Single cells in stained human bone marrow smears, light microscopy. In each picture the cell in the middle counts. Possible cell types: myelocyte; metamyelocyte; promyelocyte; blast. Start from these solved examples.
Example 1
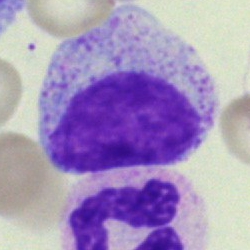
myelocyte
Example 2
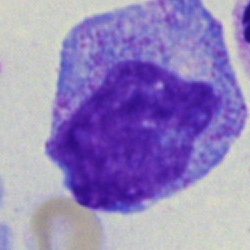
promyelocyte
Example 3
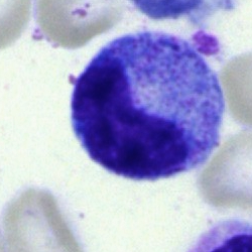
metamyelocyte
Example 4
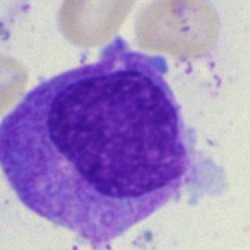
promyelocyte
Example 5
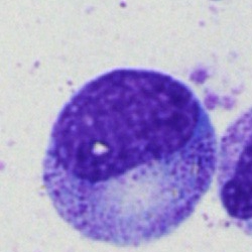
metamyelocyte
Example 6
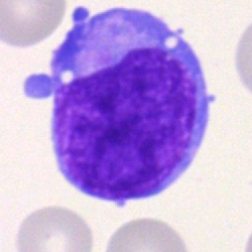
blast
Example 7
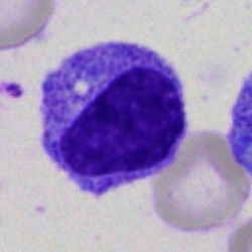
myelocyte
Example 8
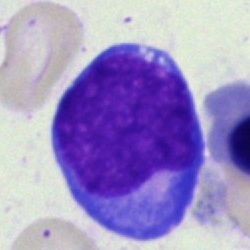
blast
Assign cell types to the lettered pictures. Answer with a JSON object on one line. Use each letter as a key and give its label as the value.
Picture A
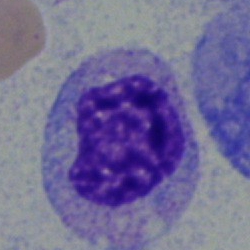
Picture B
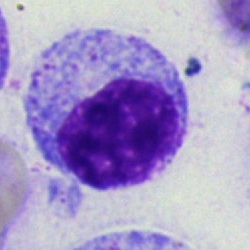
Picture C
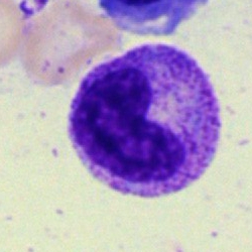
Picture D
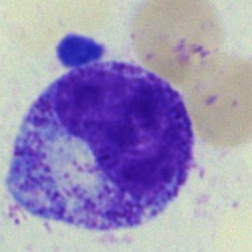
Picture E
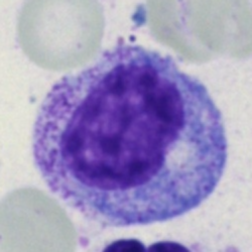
{"A": "myelocyte", "B": "myelocyte", "C": "metamyelocyte", "D": "metamyelocyte", "E": "promyelocyte"}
